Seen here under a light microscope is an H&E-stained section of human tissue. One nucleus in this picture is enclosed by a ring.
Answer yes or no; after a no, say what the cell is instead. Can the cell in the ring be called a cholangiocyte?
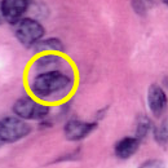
Yes.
